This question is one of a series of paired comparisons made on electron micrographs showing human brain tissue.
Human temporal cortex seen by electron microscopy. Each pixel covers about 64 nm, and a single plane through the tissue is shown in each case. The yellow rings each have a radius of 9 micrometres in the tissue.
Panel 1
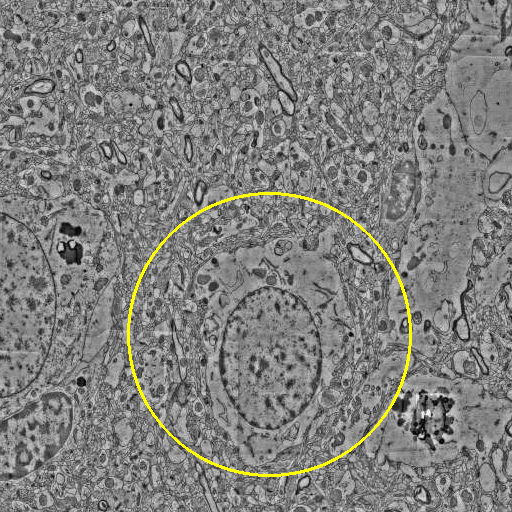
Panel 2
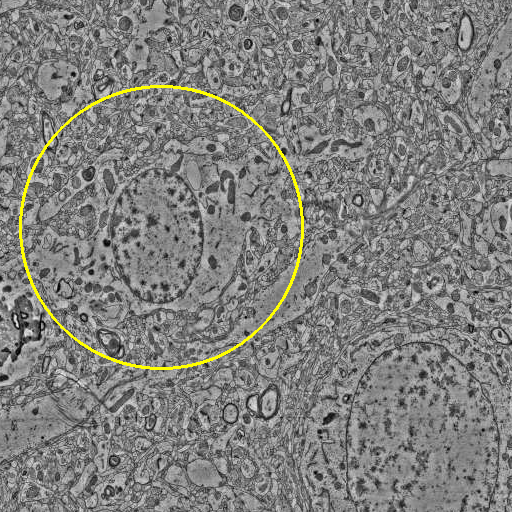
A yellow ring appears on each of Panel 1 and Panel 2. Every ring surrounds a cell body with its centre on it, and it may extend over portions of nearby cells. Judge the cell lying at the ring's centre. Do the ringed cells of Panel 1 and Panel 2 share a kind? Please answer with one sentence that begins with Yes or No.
Yes, the ring-centre cell in Panel 1 and the one in Panel 2 are of one kind.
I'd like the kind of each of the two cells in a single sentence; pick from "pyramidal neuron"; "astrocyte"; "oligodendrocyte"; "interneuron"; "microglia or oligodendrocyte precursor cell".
Each of the two rings surrounds an astrocyte.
